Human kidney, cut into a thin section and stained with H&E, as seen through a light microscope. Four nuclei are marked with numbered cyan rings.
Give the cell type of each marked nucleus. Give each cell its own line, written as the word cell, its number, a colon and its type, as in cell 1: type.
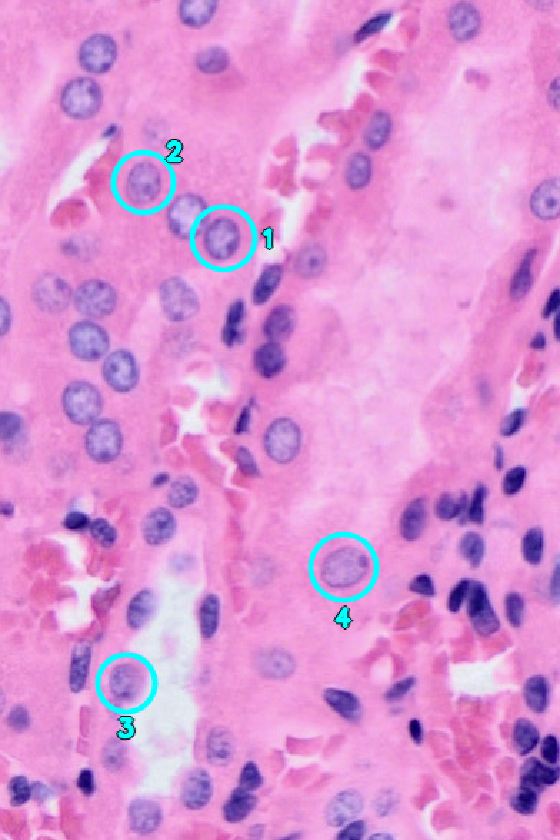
cell 1: proximal tubule cell
cell 2: proximal tubule cell
cell 3: loop of Henle or distal tubule cell
cell 4: proximal tubule cell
